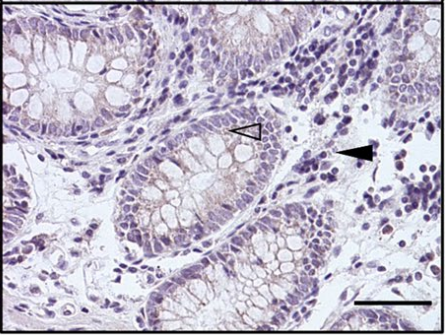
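Normal colonic mucosa is seen with crypts cut in cross and oblique section, each lined by a single layer of columnar epithelial cells with small basal nuclei and many pale, rounded goblet-cell mucin cups. The epithelium is mostly blue-purple, with at most a faint brownish tint in the cytoplasm. Between the crypts lies the lamina propria, a loose tissue packed with small round cells with dark nuclei. The orderly crypt arrangement and abundant goblet cells contrast with the crowded, stratified lining of a tumour gland.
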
